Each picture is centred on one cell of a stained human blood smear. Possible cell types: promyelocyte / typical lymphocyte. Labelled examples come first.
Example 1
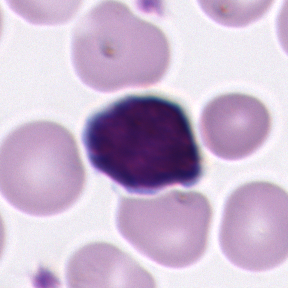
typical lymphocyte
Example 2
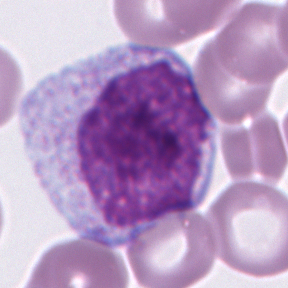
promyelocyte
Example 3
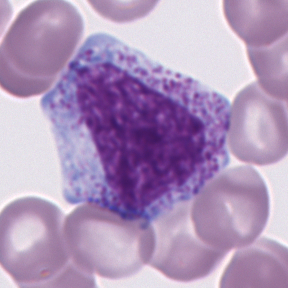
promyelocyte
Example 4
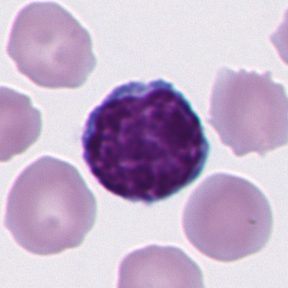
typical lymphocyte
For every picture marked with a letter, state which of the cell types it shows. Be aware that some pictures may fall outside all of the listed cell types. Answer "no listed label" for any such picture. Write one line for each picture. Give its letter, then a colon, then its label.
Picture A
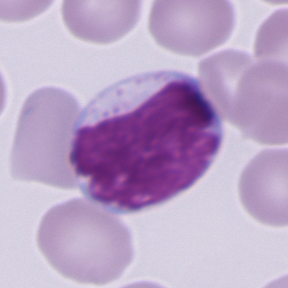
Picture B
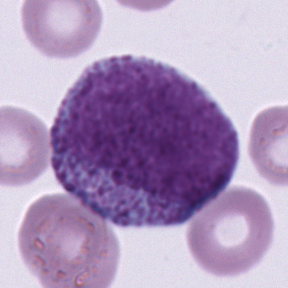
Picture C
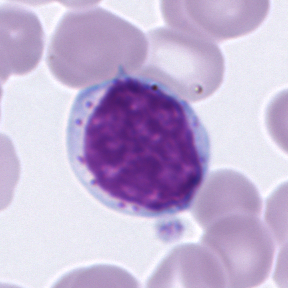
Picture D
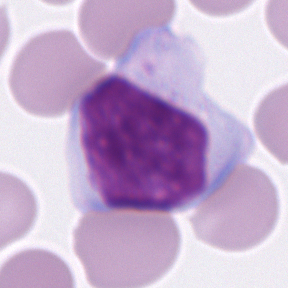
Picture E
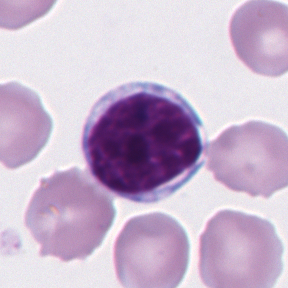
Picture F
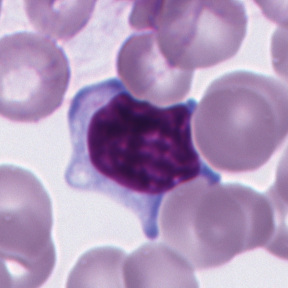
A: no listed label
B: promyelocyte
C: no listed label
D: no listed label
E: typical lymphocyte
F: typical lymphocyte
